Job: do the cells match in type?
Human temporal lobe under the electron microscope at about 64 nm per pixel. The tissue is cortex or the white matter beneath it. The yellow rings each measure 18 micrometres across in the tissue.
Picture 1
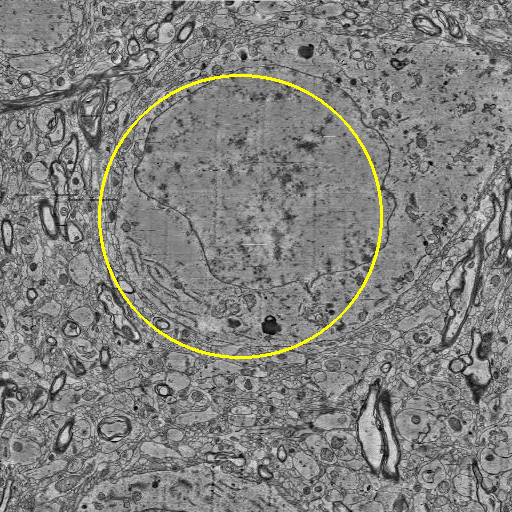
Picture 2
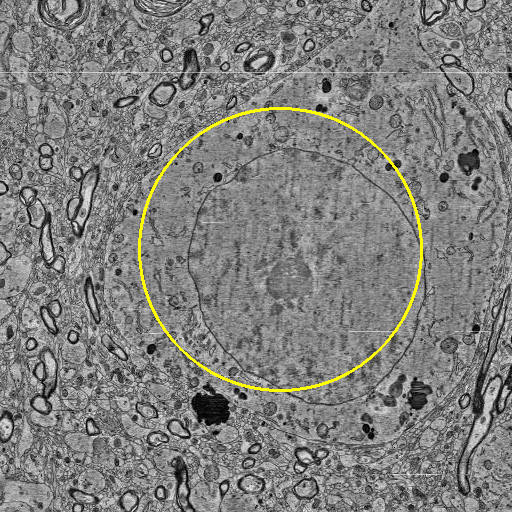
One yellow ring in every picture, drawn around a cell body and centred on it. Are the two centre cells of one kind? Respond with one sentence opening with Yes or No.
Yes, the ringed cells in the two pictures are of one and the same kind.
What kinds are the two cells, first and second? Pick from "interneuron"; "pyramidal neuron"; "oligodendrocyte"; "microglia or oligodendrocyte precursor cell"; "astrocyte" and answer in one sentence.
Each of the ringed cells, first and second, is a pyramidal neuron.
